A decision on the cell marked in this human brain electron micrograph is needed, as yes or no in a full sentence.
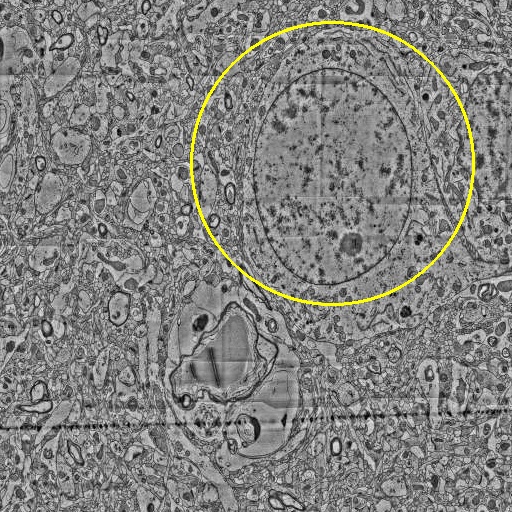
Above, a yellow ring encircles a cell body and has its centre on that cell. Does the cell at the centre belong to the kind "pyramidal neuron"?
Yes, the kind given fits the cell at the centre of the ring in the picture.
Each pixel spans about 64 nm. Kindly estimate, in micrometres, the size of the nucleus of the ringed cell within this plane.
The nucleus measures about 14 by 10 micrometres in this plane.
